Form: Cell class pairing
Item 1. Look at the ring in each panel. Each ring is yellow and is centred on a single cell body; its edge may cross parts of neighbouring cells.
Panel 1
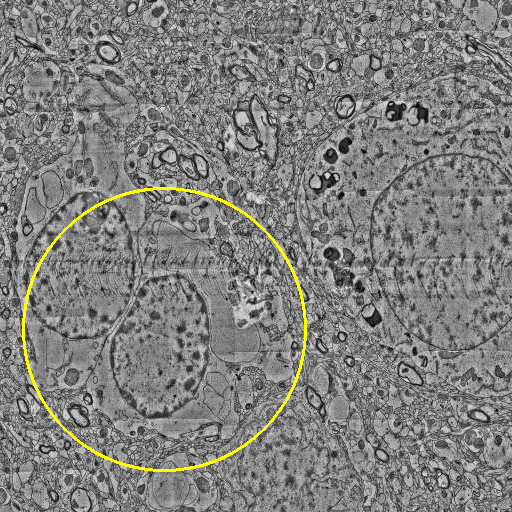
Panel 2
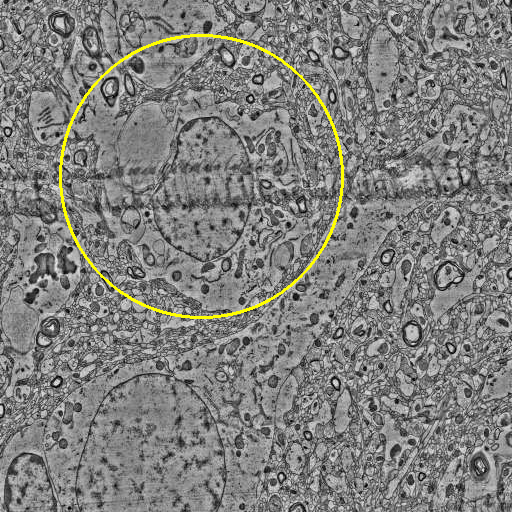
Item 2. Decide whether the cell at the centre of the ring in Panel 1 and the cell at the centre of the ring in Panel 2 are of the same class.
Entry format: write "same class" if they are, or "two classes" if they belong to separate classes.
same class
